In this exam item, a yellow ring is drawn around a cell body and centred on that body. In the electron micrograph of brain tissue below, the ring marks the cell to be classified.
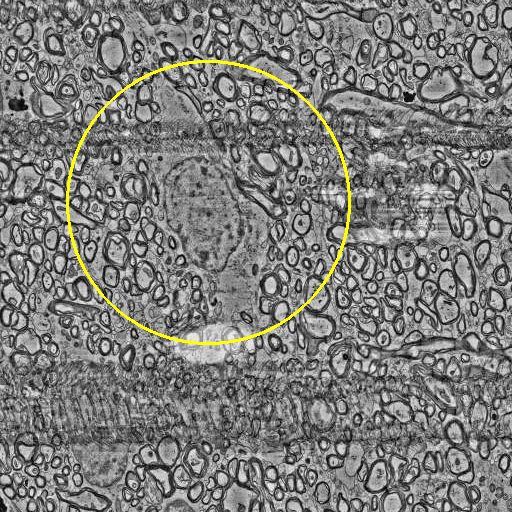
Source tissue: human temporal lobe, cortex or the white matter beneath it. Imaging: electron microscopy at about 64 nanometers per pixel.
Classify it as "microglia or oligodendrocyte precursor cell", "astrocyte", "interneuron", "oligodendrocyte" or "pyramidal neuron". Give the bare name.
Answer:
astrocyte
